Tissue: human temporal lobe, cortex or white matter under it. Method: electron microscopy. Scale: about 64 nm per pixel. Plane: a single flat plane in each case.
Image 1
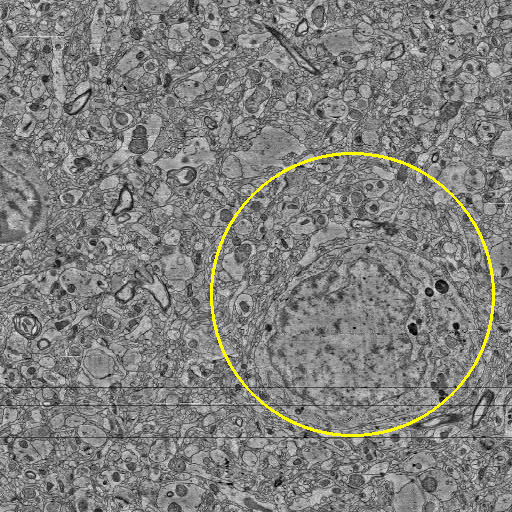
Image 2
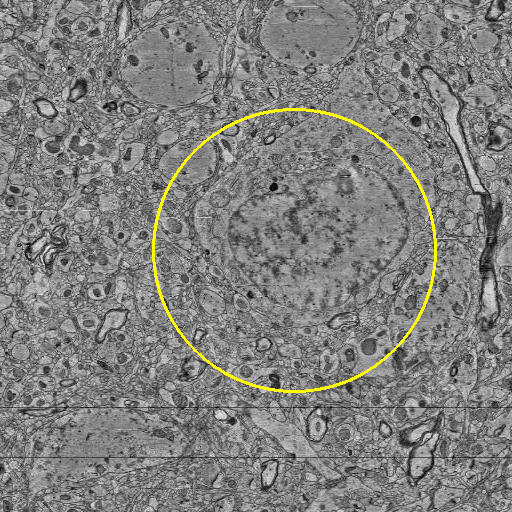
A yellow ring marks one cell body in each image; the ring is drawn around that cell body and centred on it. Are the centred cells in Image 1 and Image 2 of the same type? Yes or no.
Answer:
yes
